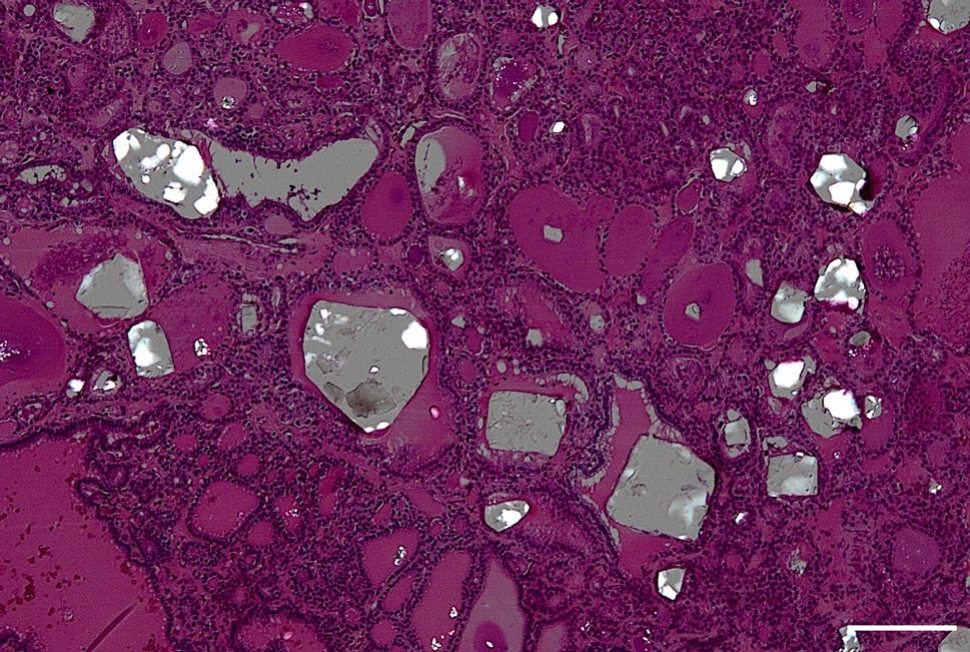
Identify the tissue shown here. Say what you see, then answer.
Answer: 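Round spaces of varying size are filled with homogeneous pink material. So: thyroid follicles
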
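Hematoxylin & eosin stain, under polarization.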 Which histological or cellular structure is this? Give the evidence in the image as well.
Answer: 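Angular, glassy pale grey-white bodies lie inside the pink colloid of many follicles. Parts of these bodies shine bright white under polarization. The bodies range from tiny fragments to ones filling a whole follicle.
Conclusion: calcium oxalate crystals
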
